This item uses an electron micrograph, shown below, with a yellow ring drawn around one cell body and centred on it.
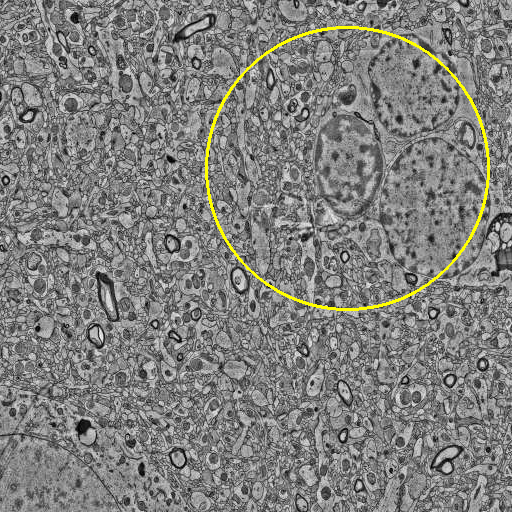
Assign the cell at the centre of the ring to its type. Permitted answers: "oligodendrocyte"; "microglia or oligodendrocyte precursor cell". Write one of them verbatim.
oligodendrocyte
